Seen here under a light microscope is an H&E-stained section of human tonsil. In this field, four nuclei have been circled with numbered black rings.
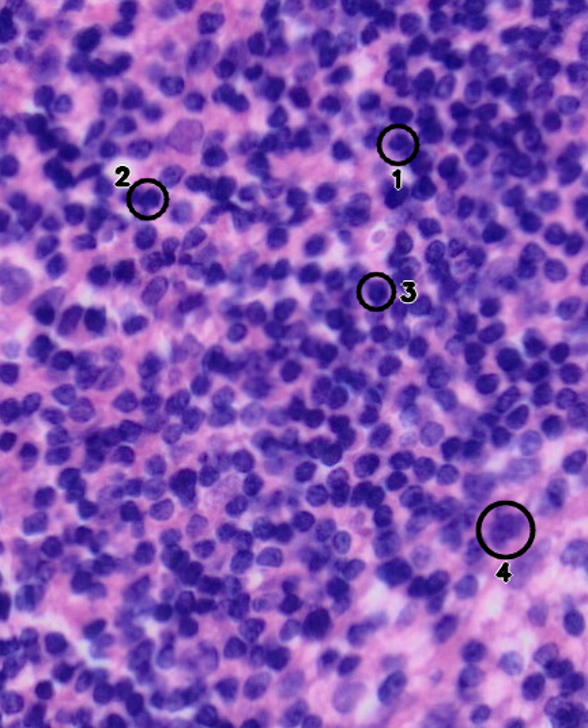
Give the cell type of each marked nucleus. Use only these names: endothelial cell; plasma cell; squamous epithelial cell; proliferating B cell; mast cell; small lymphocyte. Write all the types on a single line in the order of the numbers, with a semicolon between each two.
small lymphocyte; small lymphocyte; small lymphocyte; proliferating B cell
